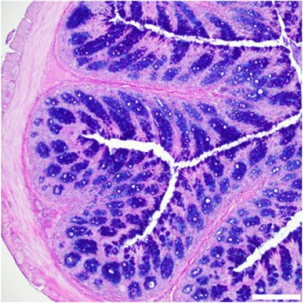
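A cross-section of colonic mucosa shows tubular crypts packed side by side and radiating toward a branching white lumen. Numerous rounded goblet cells filled with dark blue-purple material line the crypts, set in pale pink tissue, with a thin pink muscular band at the outer edge.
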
